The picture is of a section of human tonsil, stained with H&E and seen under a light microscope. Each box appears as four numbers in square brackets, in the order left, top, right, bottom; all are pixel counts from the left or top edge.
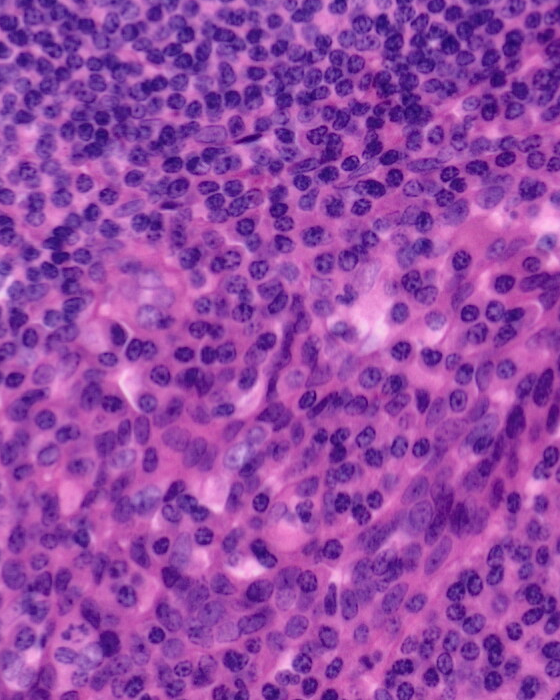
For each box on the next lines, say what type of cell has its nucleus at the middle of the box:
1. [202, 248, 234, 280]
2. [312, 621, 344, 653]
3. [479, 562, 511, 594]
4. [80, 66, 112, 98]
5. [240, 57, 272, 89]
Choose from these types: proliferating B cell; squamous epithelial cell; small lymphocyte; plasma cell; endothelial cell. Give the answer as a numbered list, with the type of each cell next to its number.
1. plasma cell
2. plasma cell
3. plasma cell
4. small lymphocyte
5. small lymphocyte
